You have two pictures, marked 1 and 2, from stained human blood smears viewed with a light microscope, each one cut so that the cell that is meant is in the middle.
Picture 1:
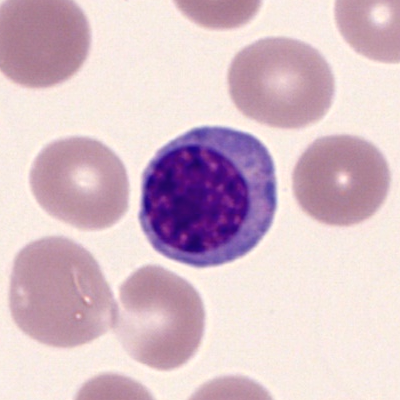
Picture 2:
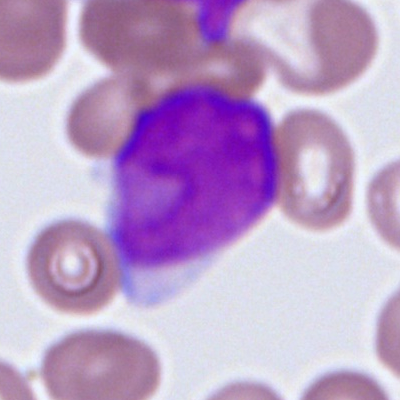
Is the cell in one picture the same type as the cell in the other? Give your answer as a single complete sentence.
No; the cell in picture 1 is a lymphocyte, while the one in picture 2 is a myeloblast.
